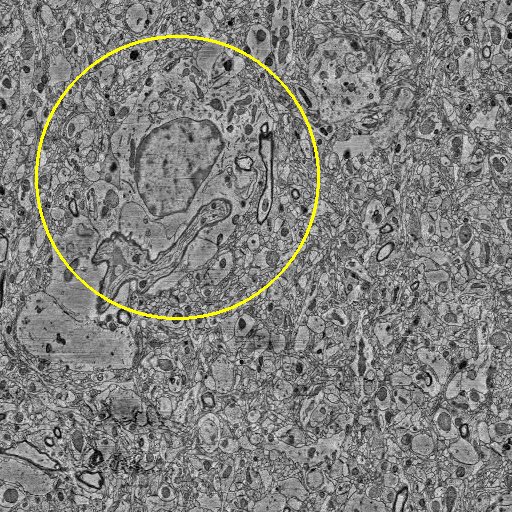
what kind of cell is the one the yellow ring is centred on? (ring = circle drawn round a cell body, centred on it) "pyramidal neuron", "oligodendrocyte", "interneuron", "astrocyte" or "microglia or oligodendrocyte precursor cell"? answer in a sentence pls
The ring is drawn around a microglial cell or oligodendrocyte precursor cell.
